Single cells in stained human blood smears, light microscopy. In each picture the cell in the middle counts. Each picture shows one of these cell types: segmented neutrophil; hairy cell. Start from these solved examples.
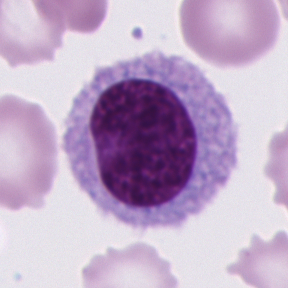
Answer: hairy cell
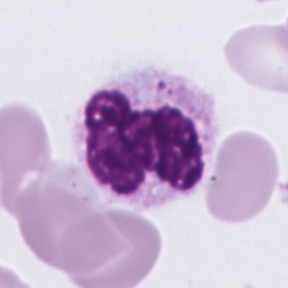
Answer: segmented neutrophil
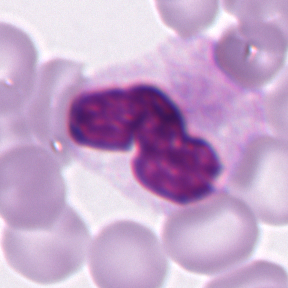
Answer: segmented neutrophil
